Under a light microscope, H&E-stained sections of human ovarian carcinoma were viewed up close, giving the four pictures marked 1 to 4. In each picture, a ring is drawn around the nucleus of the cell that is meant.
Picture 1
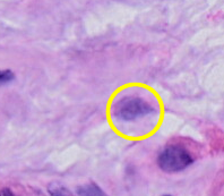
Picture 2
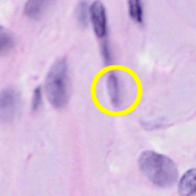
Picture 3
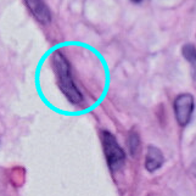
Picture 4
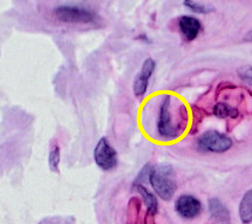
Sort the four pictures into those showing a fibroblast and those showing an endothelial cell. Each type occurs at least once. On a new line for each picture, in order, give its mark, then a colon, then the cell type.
1: fibroblast
2: fibroblast
3: endothelial cell
4: endothelial cell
